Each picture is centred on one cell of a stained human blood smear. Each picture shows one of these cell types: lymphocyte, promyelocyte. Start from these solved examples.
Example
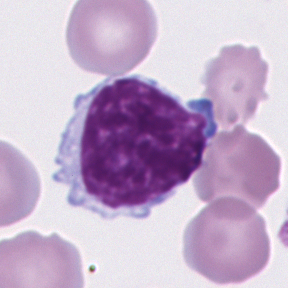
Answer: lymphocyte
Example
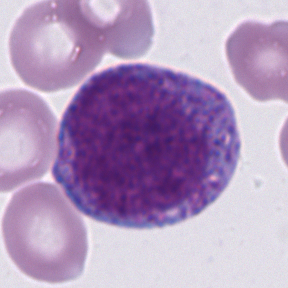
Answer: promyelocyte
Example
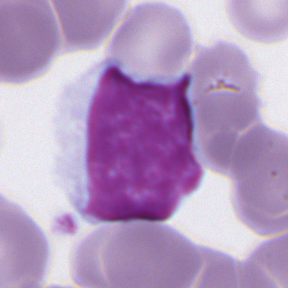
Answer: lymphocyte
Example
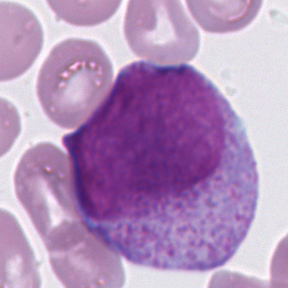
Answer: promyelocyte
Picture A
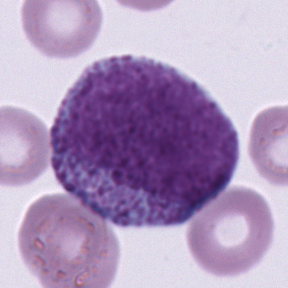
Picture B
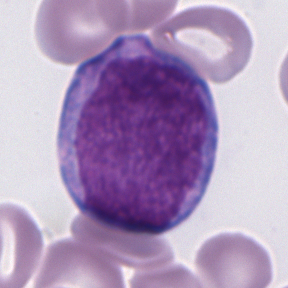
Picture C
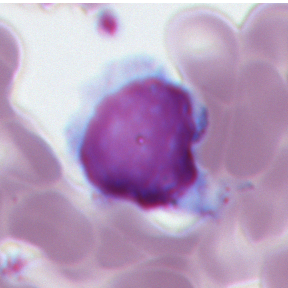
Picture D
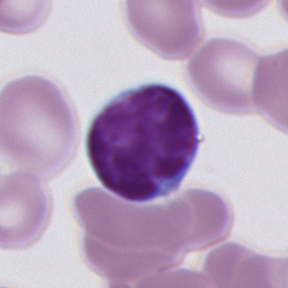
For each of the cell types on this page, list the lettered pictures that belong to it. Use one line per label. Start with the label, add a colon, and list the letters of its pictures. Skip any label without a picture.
lymphocyte: C, D
promyelocyte: A, B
